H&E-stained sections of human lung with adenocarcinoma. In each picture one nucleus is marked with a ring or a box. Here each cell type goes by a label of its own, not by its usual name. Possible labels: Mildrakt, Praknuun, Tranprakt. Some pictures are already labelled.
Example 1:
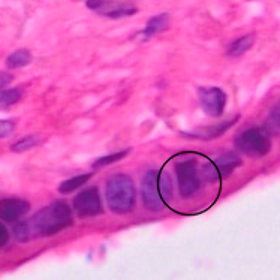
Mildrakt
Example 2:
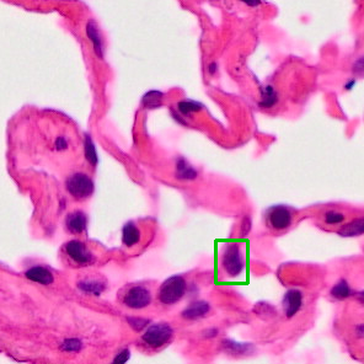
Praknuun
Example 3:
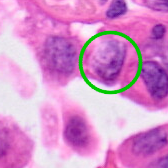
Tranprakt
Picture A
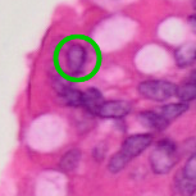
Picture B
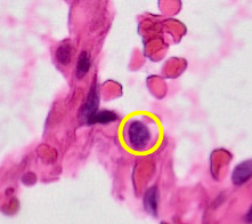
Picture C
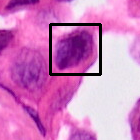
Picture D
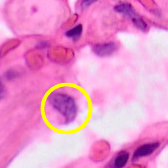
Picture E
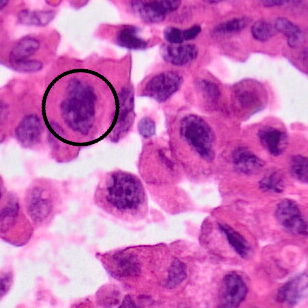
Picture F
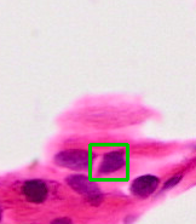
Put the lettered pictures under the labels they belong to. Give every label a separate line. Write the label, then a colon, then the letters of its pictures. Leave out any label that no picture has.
Mildrakt: A
Praknuun: B, D, F
Tranprakt: C, E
